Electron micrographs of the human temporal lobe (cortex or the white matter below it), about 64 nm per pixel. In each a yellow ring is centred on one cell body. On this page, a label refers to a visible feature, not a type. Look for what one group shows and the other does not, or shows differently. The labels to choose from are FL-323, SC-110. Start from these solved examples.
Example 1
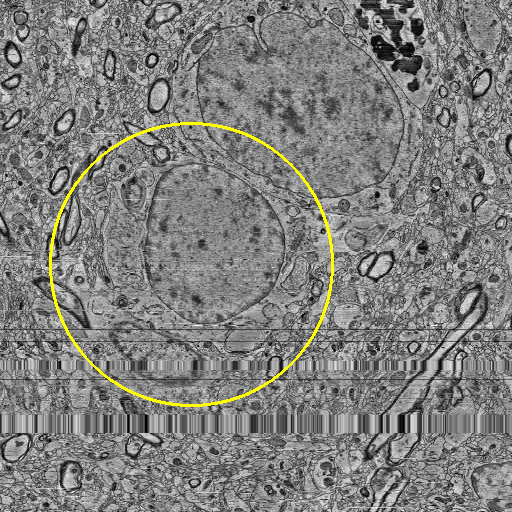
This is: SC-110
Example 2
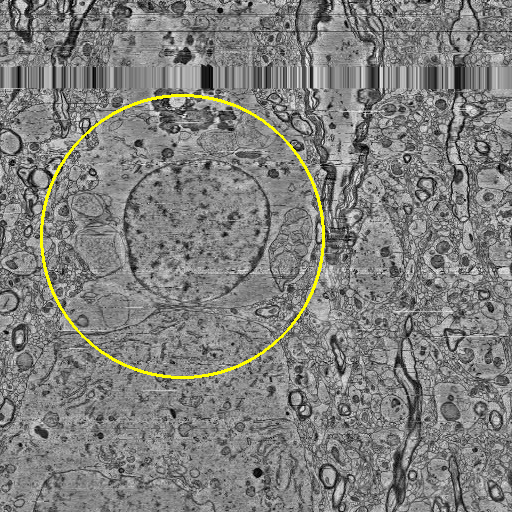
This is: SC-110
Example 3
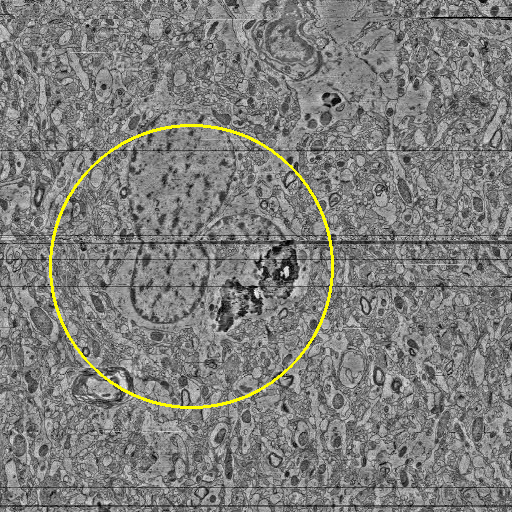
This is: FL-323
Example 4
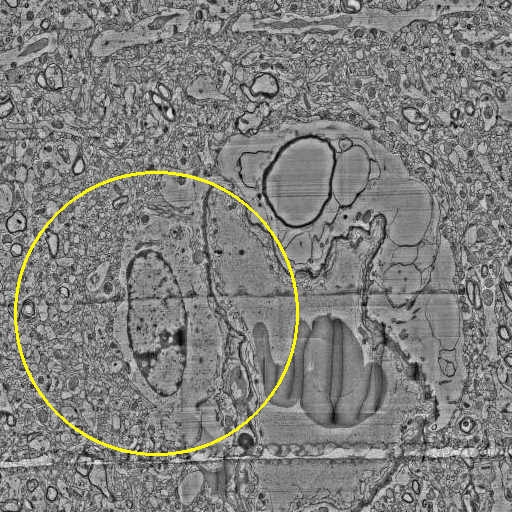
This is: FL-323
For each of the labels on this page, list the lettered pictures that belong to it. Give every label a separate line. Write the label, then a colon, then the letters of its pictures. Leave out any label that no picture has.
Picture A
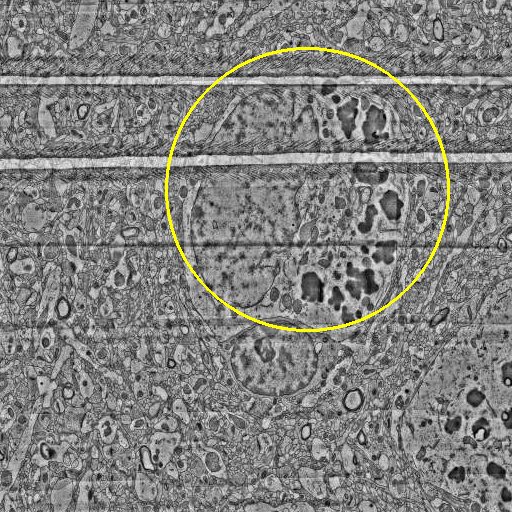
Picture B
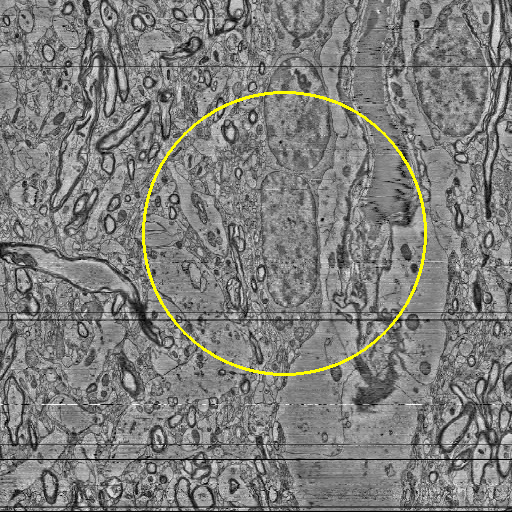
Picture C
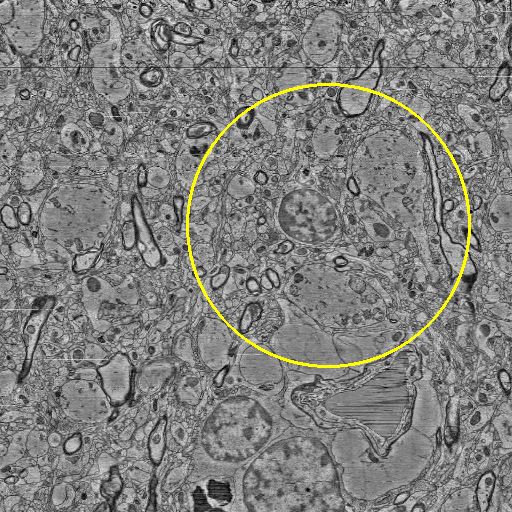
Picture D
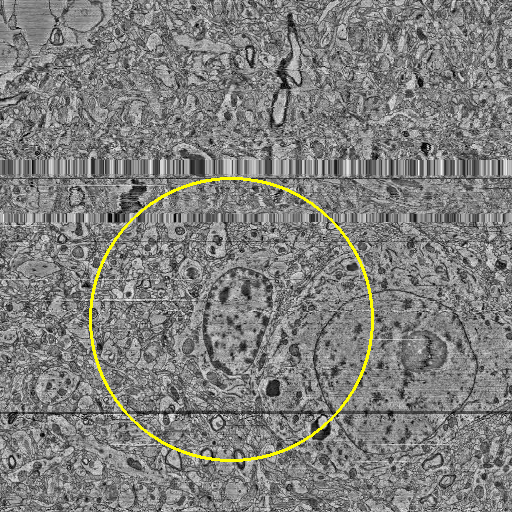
FL-323: B, D
SC-110: A, C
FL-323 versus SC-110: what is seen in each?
In FL-323: clearly elongated nuclei. In SC-110: round or nearly round nuclei.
